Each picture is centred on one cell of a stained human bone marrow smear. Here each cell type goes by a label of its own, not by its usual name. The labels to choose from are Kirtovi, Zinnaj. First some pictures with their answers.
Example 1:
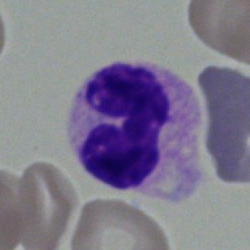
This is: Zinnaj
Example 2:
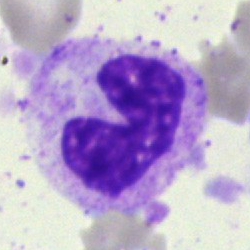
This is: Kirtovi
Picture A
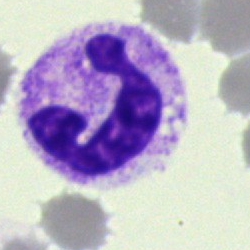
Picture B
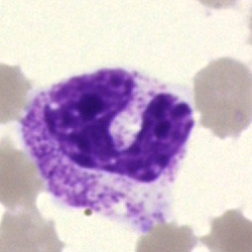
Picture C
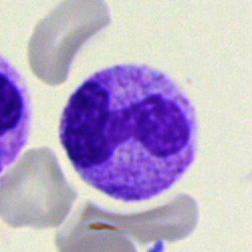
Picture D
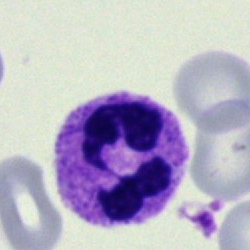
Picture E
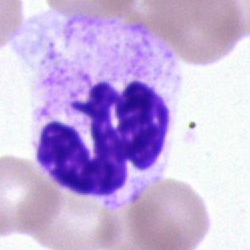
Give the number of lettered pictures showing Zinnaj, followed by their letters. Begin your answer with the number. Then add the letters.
Count: 4 (A, B, D, E)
